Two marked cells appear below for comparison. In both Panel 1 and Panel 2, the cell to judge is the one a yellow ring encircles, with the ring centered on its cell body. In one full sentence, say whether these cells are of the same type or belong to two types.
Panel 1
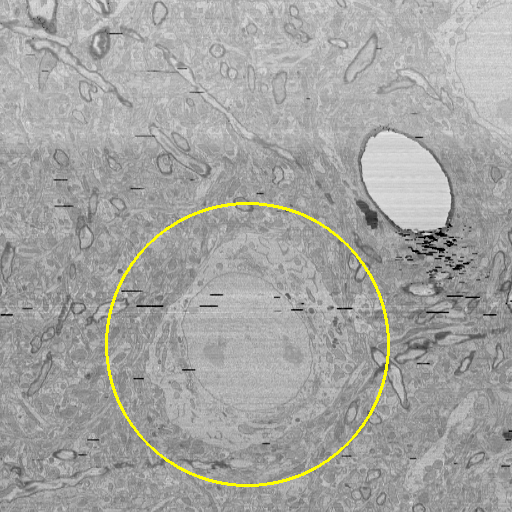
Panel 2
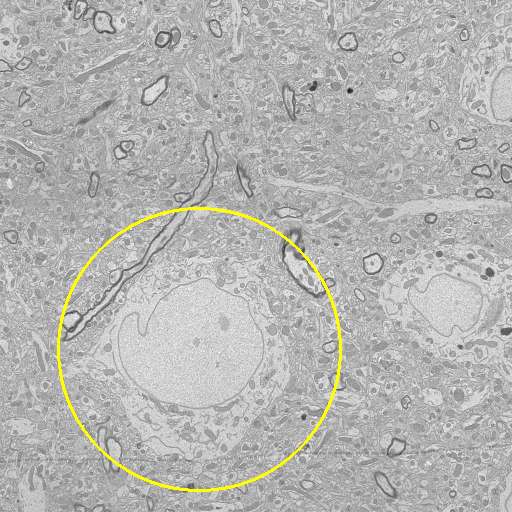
The cell centered in the Panel 1 ring and the one in Panel 2 are of the same type.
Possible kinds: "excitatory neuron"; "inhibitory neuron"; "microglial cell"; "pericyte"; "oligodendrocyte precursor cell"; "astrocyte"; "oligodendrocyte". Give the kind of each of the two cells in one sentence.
The ring centre holds an excitatory neuron in each of the two pictures.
